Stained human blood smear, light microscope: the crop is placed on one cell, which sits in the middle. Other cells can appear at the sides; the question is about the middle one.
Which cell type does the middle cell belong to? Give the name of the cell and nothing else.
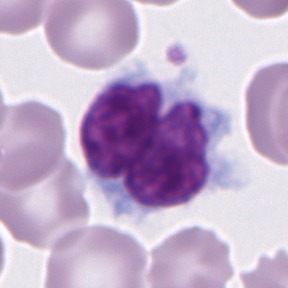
hairy cell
